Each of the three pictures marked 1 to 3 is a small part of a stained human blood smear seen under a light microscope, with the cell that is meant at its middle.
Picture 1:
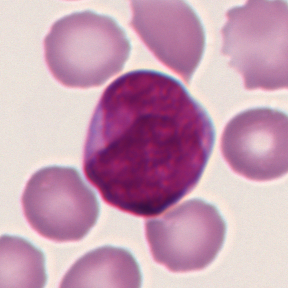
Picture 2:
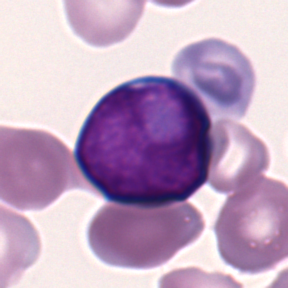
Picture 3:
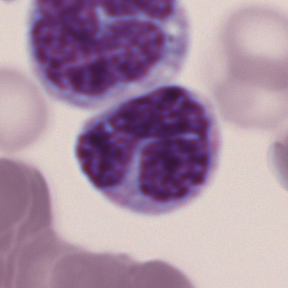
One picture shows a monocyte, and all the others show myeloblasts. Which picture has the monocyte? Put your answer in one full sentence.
It is picture 3 that shows the monocyte.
